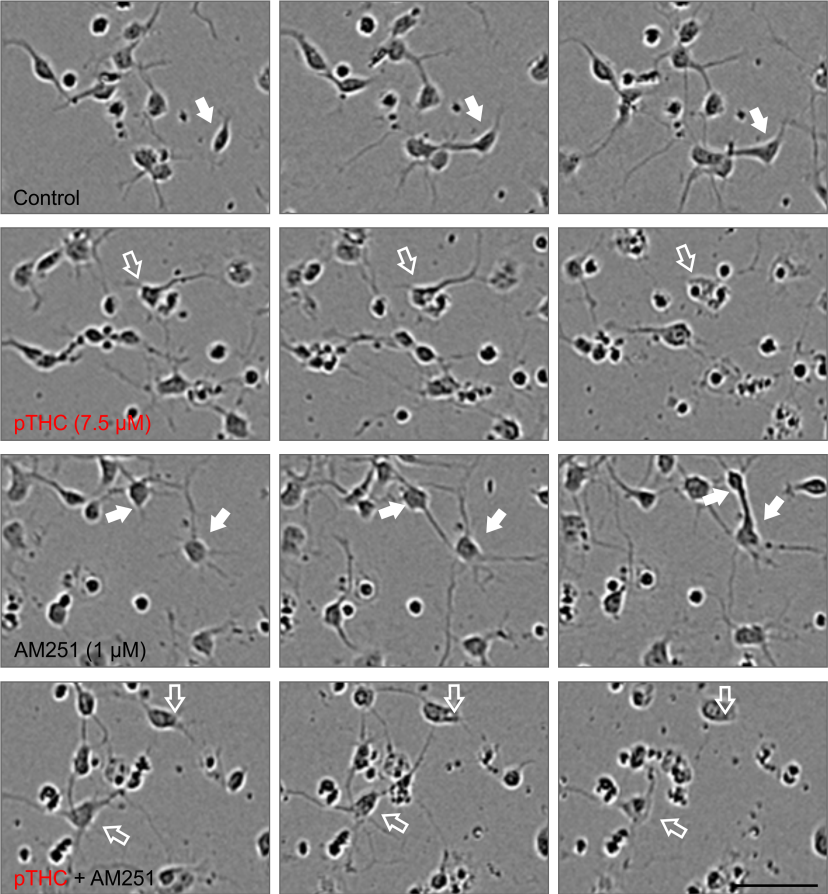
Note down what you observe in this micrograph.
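Many cell bodies send out long, thin processes that run across the dish and connect neighbouring cells into a loose network. In some rows the cells keep smooth outlines and their processes persist or lengthen from frame to frame, as expected of live neurons. In other rows cell bodies become rounded and irregular, processes thin out or vanish, and clusters of small dark granules appear beside them. These granular clusters and shrunken bodies are neurons breaking up into fragments.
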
